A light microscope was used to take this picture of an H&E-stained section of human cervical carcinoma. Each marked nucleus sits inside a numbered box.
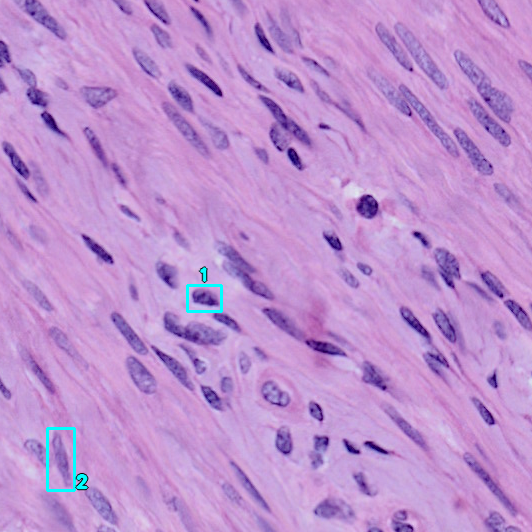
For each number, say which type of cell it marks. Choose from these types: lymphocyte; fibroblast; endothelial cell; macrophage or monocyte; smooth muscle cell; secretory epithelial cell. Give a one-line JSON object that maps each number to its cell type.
{"1": "fibroblast", "2": "smooth muscle cell"}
